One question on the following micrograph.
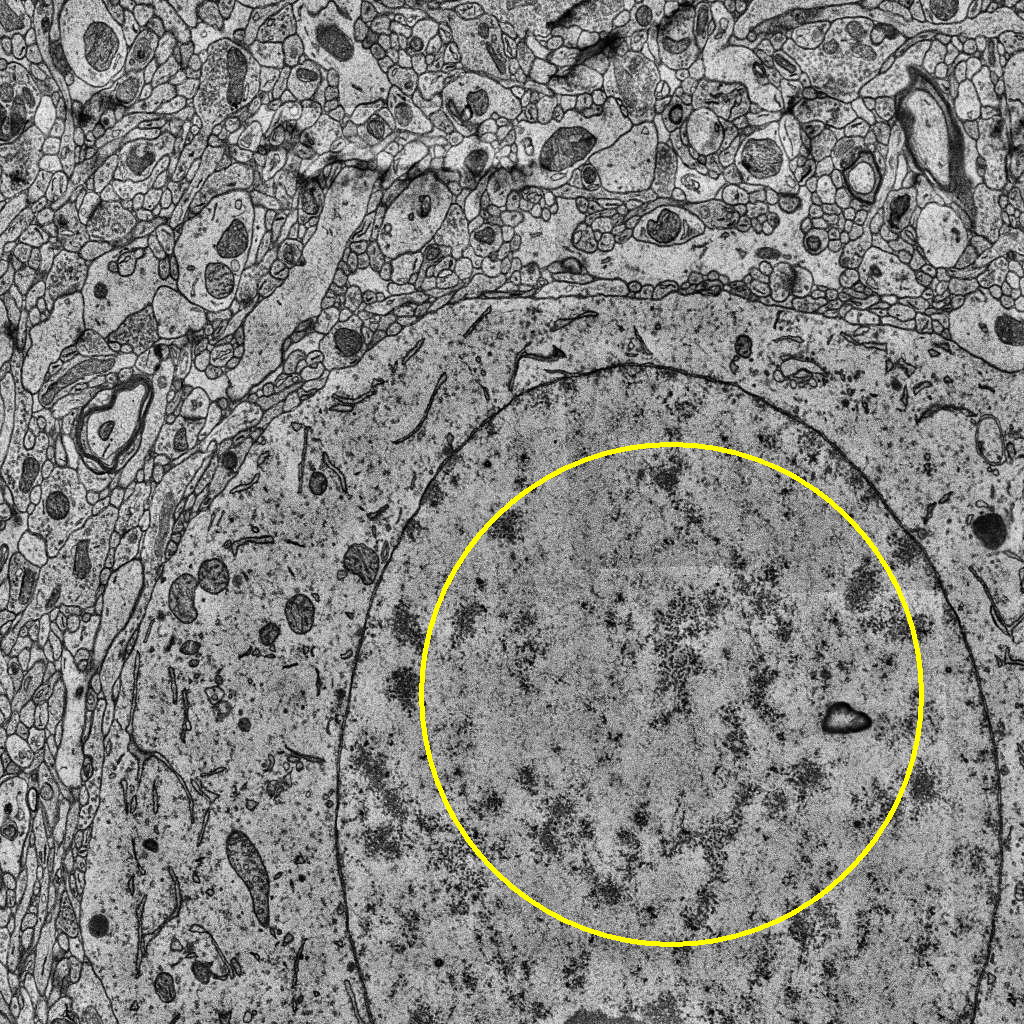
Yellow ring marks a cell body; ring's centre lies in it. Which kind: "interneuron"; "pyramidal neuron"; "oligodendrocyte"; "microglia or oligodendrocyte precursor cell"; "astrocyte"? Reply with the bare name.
pyramidal neuron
